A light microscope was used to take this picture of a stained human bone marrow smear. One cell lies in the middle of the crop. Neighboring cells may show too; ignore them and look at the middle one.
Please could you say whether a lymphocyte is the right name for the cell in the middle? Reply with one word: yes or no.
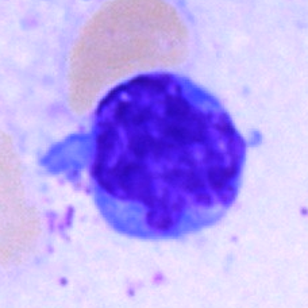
yes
